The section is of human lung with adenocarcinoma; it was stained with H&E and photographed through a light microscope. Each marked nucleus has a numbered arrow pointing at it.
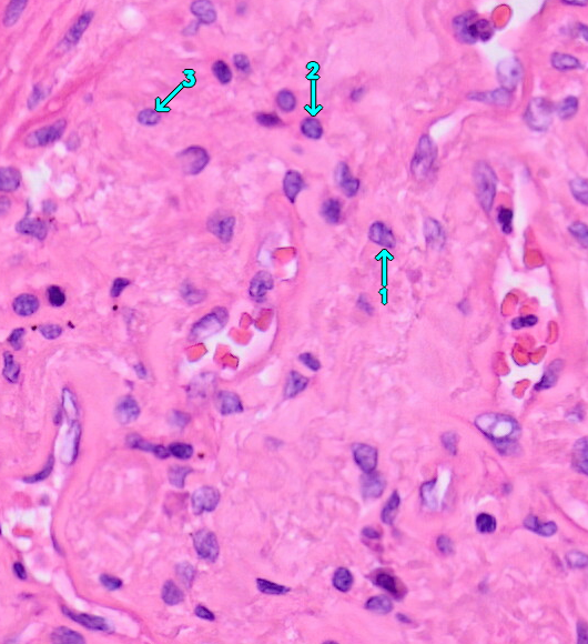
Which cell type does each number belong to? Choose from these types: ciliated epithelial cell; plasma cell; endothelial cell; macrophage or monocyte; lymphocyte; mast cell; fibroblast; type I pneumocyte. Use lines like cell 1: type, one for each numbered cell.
cell 1: fibroblast
cell 2: mast cell
cell 3: mast cell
